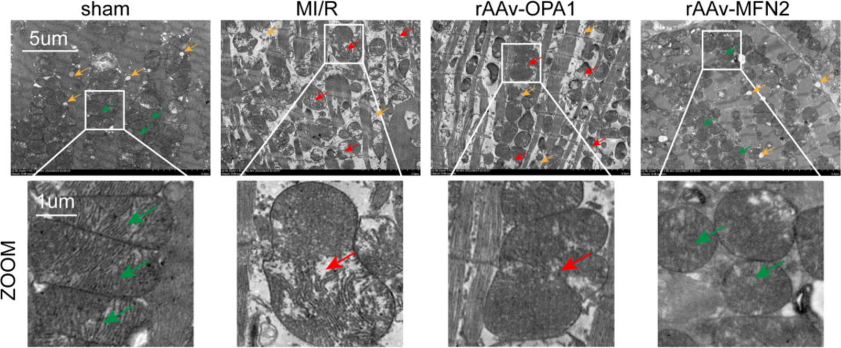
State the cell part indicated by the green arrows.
Normal mitochondria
